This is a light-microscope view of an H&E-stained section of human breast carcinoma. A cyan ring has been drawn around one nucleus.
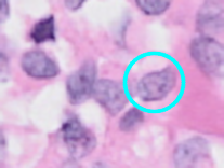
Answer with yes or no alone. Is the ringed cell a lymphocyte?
no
